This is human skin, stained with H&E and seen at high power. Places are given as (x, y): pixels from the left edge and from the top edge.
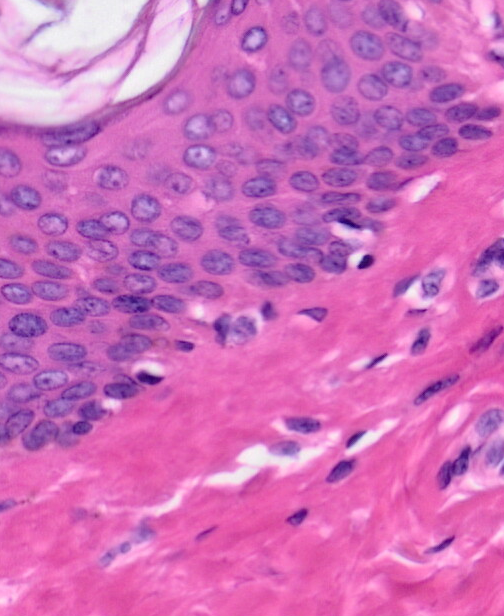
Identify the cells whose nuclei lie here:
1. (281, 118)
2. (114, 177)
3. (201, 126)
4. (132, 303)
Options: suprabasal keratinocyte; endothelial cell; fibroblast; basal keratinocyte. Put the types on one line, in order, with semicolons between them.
suprabasal keratinocyte; suprabasal keratinocyte; suprabasal keratinocyte; basal keratinocyte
